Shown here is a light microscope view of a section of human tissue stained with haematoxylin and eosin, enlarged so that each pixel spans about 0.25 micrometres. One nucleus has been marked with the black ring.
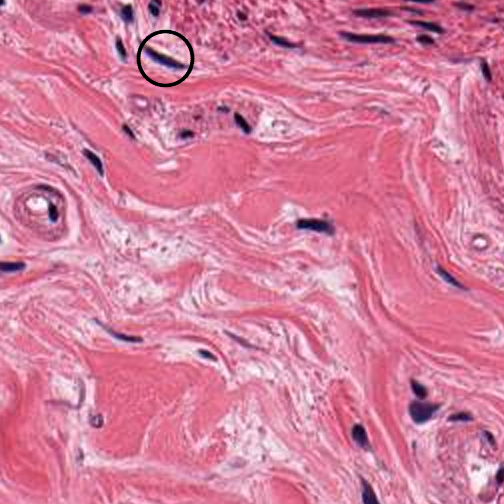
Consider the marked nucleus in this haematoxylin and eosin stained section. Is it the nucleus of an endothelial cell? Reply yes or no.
no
